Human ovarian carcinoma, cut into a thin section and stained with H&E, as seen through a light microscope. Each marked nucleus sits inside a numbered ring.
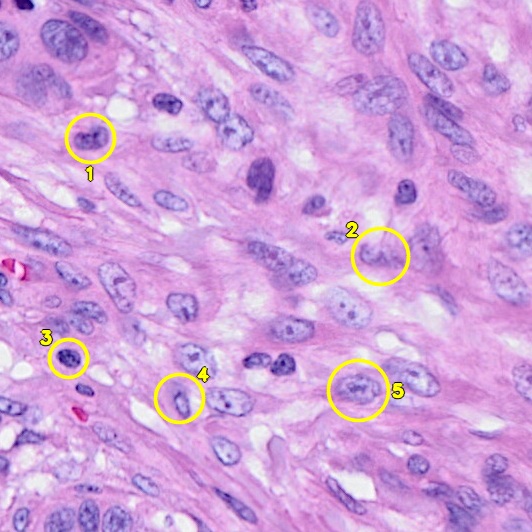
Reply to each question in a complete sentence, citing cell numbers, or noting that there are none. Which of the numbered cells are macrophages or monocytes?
Among the numbered cells, cell 1 alone is a macrophage or monocyte.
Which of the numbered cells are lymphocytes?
Cell 3 is the only numbered cell that is a lymphocyte.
